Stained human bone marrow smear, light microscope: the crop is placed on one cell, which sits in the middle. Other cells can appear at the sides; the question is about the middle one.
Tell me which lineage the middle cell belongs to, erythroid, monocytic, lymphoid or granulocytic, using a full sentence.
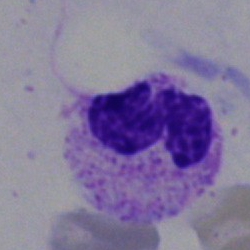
As for the cell in the middle, its lineage is granulocytic.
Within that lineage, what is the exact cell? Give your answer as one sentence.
The cell found in the middle of this crop is a segmented neutrophil.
